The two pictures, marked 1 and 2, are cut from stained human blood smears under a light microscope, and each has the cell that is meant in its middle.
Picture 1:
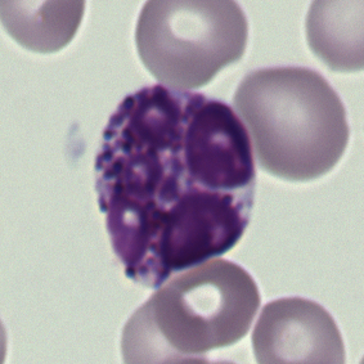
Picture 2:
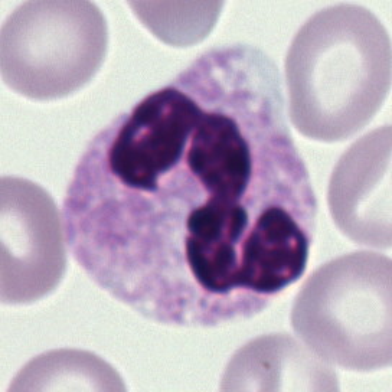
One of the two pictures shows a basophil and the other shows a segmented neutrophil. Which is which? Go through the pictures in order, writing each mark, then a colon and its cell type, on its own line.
1: basophil
2: segmented neutrophil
